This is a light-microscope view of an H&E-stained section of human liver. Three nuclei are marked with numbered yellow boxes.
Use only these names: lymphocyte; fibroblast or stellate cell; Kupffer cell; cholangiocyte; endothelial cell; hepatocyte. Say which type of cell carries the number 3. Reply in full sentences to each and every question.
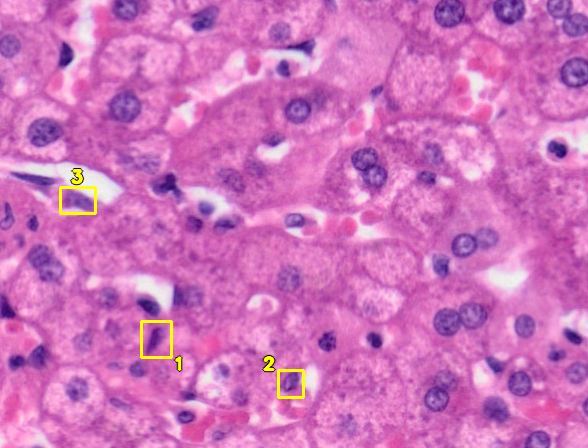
It is as a Kupffer cell that the cell numbered 3 is identified.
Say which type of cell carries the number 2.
The cell indicated with the number 2 is classed as a Kupffer cell.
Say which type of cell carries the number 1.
Within this field of view, the cell labelled 1 is a fibroblast or stellate cell.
